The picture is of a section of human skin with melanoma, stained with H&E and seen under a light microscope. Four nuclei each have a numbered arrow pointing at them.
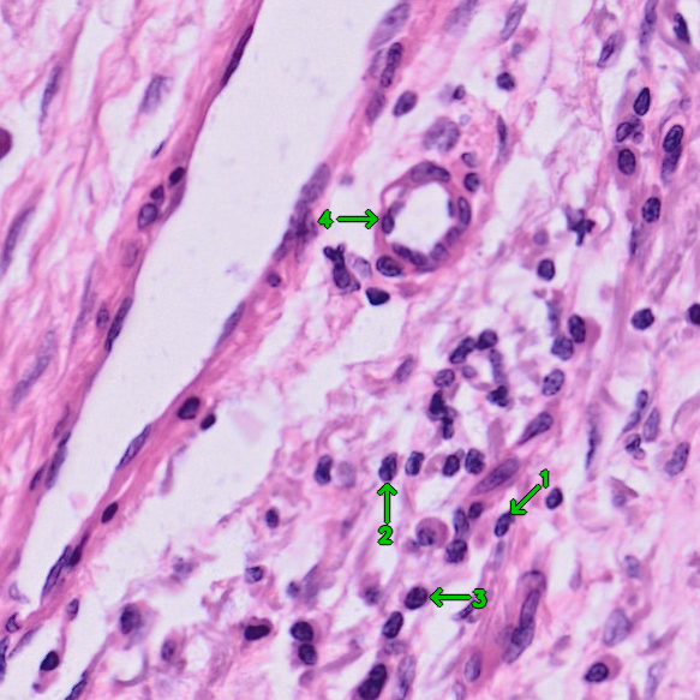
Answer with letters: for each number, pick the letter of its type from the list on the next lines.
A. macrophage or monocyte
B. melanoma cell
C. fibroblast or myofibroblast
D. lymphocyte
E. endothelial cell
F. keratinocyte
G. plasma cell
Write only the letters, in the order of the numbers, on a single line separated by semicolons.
D; D; G; E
